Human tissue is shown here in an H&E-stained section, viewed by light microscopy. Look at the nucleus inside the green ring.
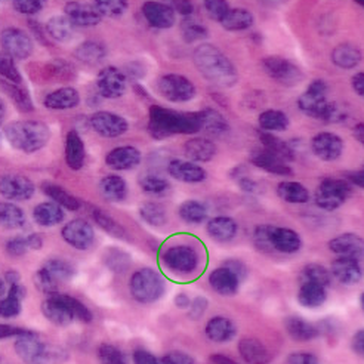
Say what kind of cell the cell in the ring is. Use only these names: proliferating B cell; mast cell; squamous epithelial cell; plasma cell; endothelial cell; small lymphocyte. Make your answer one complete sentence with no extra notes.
Cytologically, the cell in the ring is to be regarded as a plasma cell.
